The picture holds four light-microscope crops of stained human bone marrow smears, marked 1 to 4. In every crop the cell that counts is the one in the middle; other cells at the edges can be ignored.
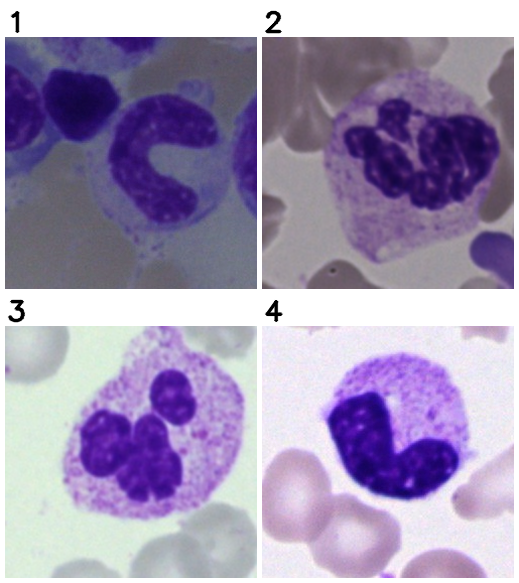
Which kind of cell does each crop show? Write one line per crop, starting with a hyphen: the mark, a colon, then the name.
- 1: band neutrophil
- 2: segmented neutrophil
- 3: segmented neutrophil
- 4: band neutrophil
